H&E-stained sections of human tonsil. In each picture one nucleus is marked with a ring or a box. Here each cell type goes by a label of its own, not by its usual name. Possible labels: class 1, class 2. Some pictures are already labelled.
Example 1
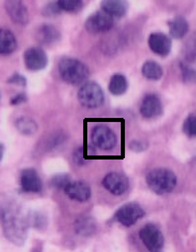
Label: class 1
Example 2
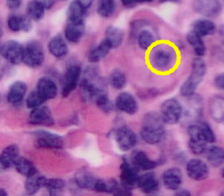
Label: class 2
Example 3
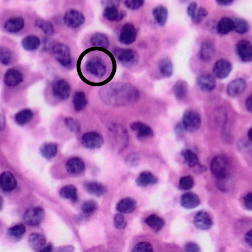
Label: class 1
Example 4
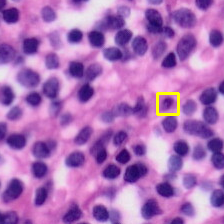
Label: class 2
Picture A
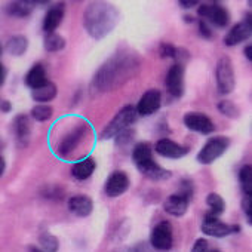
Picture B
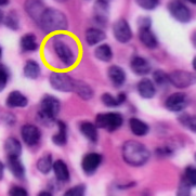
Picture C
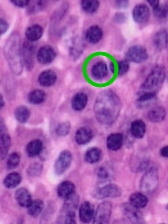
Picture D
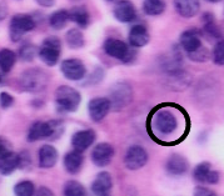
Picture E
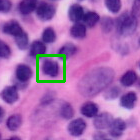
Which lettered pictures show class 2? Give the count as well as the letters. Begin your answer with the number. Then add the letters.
Count: 4 (A, B, D, E)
